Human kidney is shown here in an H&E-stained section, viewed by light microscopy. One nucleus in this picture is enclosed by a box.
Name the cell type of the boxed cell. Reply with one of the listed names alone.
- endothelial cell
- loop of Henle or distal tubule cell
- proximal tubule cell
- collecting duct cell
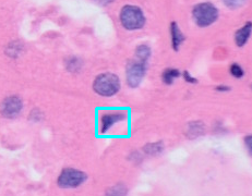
endothelial cell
